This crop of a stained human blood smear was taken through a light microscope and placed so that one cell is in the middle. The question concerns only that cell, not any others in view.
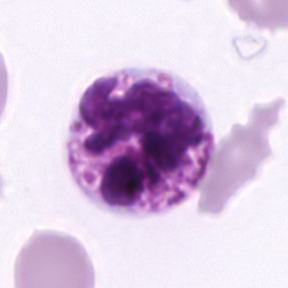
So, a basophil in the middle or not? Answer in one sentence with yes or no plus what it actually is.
Yes, the crop's central cell is a basophil.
